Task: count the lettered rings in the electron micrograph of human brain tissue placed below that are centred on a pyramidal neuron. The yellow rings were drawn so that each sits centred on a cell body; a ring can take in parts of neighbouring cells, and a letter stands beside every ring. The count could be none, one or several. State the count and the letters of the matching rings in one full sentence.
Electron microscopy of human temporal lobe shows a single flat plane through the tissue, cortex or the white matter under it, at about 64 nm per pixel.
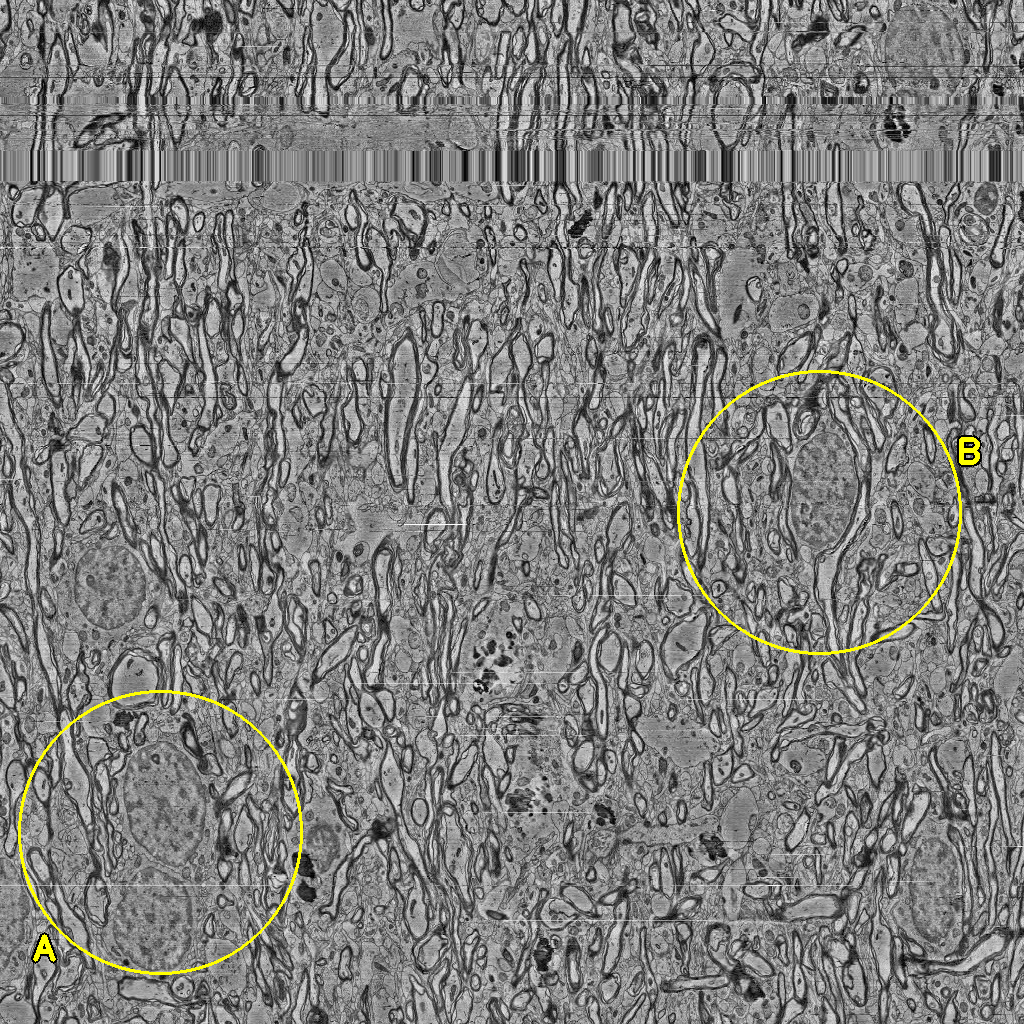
Not one of the yellow rings is centred on a pyramidal neuron, so the count comes to zero.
